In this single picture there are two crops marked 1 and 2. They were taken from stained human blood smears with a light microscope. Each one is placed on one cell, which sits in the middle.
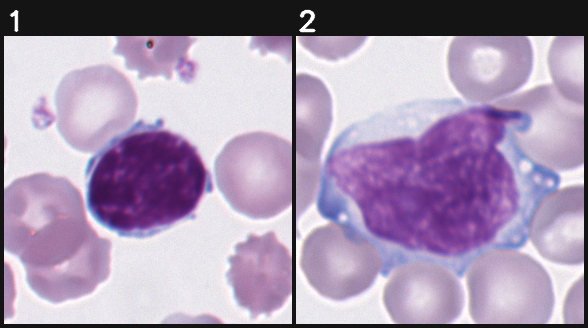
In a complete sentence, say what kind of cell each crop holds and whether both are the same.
No, crop 1 shows a typical lymphocyte, whereas a myeloblast is what crop 2 shows.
